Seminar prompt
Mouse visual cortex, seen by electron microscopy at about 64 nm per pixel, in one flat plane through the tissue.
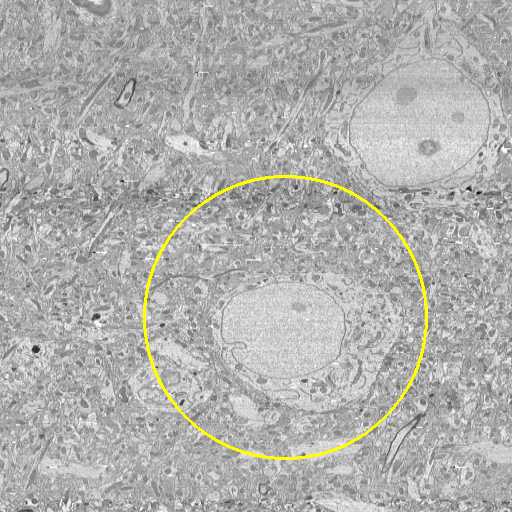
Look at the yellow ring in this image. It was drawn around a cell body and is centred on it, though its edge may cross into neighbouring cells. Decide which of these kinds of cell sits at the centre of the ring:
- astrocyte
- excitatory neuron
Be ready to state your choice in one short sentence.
The kind of cell at the ring's centre is an excitatory neuron.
